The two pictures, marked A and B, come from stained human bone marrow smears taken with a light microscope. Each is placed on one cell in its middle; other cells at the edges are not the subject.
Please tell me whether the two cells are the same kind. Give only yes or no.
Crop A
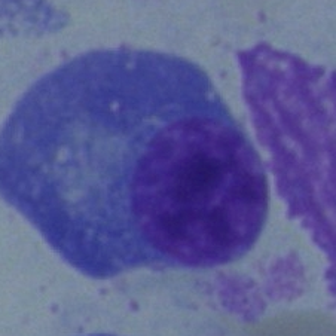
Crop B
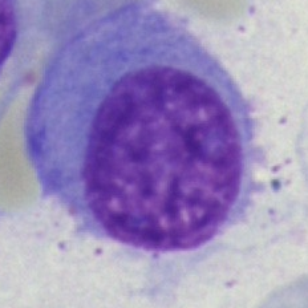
yes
